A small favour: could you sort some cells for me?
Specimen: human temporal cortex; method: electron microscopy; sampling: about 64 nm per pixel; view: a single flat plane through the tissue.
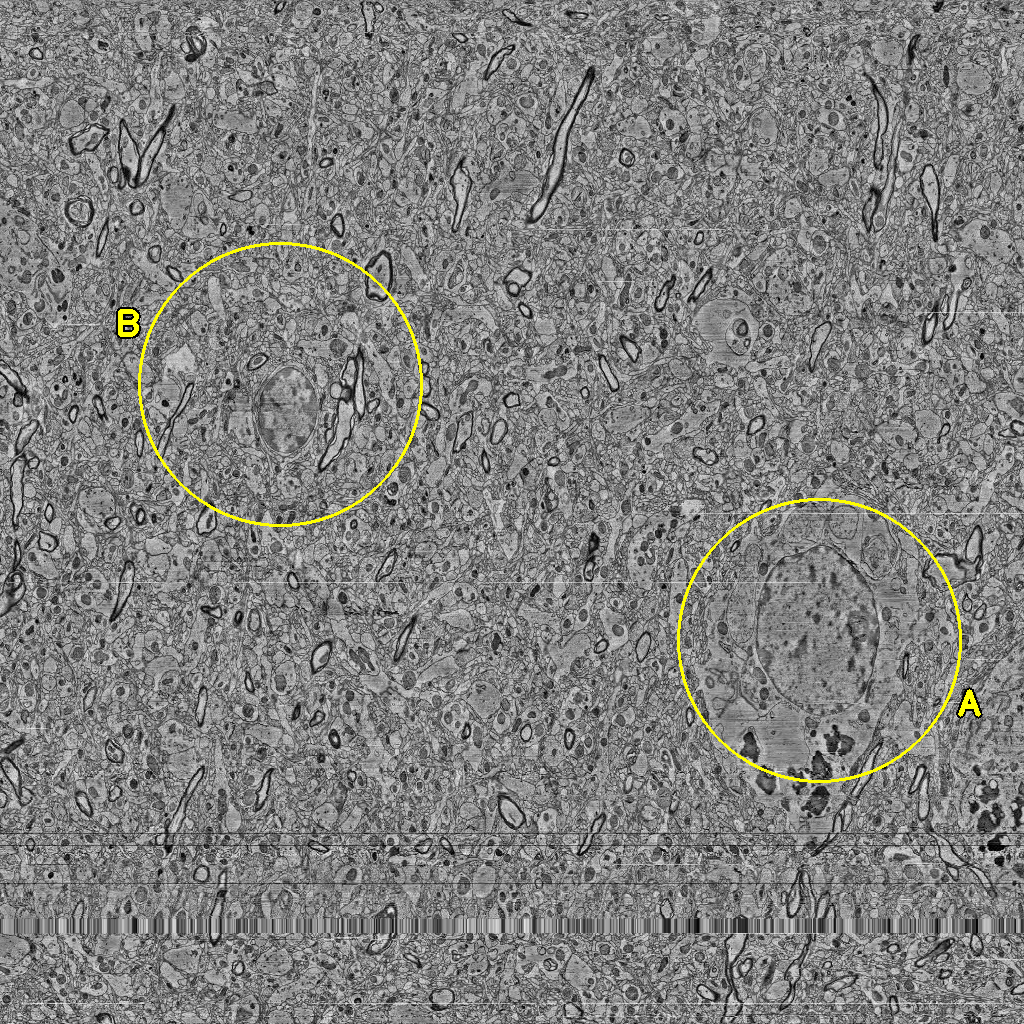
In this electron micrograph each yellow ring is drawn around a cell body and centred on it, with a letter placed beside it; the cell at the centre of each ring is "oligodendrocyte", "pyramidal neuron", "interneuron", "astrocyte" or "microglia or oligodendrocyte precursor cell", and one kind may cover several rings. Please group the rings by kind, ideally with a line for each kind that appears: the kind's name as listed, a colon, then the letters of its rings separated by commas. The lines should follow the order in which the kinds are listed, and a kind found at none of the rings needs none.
astrocyte: A
microglia or oligodendrocyte precursor cell: B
